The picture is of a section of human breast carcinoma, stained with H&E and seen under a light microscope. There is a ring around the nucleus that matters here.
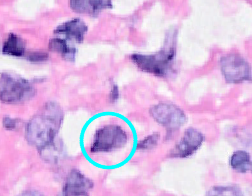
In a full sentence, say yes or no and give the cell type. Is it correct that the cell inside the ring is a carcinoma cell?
Yes, the cell inside the ring in this field is a carcinoma cell.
